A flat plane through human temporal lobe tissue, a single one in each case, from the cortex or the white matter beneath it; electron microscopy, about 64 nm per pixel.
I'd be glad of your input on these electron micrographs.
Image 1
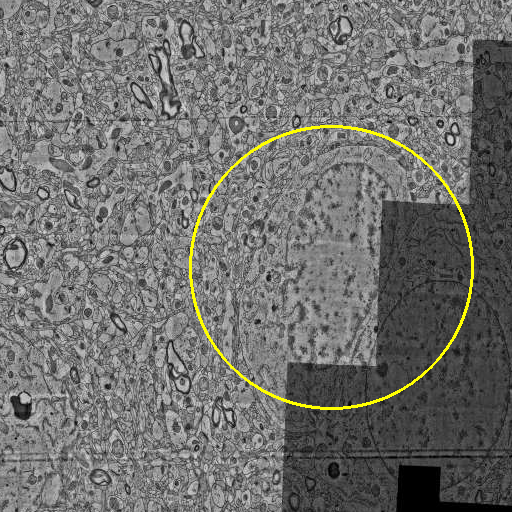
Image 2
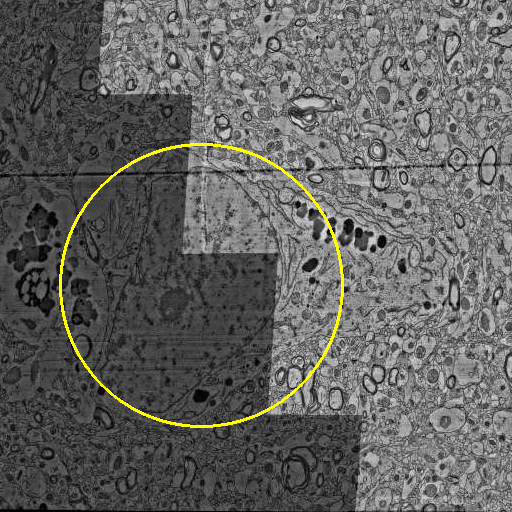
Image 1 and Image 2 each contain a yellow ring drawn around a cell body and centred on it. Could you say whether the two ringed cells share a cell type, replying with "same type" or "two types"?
two types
